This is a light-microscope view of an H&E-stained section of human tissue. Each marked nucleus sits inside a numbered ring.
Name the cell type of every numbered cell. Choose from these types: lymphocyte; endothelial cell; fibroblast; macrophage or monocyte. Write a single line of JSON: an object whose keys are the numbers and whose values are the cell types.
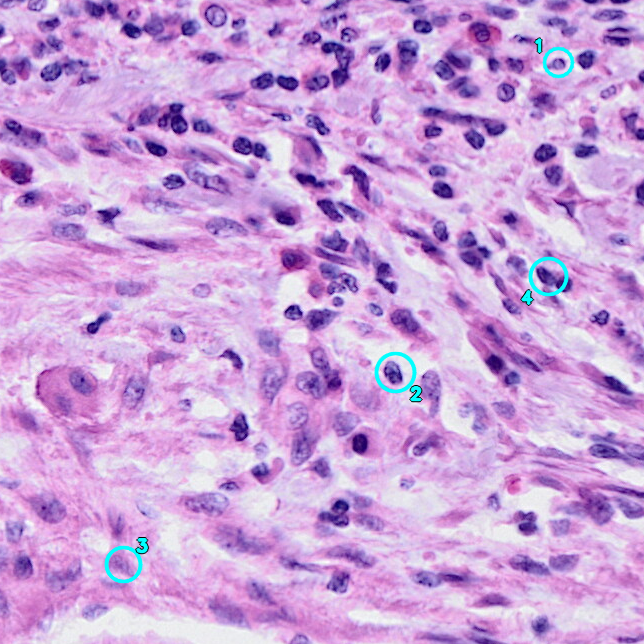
{"1": "lymphocyte", "2": "lymphocyte", "3": "fibroblast", "4": "lymphocyte"}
